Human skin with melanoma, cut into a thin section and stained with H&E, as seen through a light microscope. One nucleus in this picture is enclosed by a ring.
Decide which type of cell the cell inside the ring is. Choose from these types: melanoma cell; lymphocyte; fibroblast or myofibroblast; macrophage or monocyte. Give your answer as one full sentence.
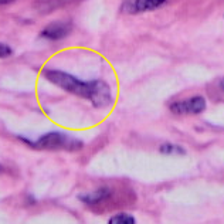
The cell meant here is a fibroblast or myofibroblast.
